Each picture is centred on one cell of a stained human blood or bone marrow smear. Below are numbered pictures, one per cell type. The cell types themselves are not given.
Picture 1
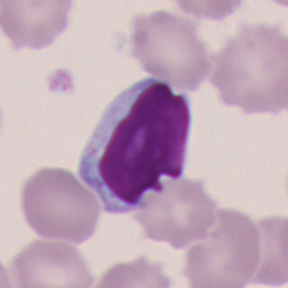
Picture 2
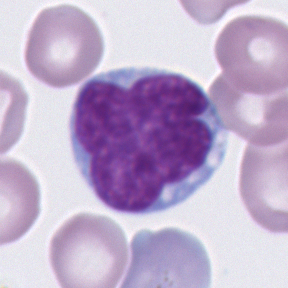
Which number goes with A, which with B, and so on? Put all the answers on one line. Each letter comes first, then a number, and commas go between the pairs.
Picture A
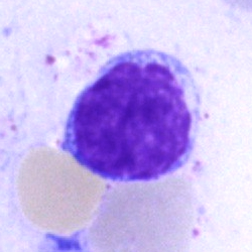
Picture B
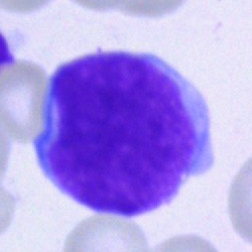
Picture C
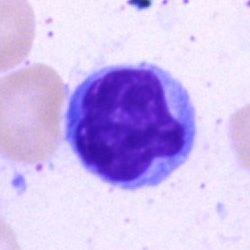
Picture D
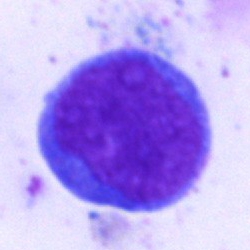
A 1, B 2, C 1, D 2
